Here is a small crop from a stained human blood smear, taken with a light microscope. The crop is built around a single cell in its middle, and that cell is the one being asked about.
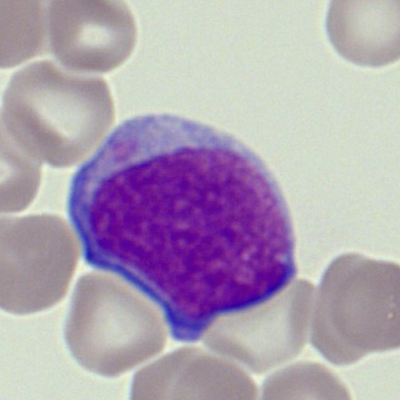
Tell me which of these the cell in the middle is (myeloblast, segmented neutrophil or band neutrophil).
myeloblast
